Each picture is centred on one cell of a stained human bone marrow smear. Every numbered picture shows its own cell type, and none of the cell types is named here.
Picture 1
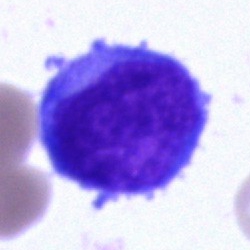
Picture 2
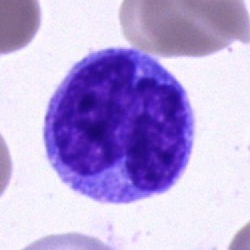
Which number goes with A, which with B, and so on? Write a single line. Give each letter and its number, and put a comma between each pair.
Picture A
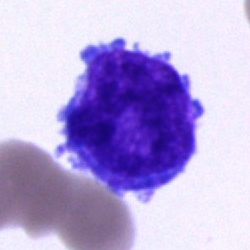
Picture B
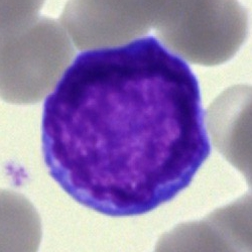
A 1, B 1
